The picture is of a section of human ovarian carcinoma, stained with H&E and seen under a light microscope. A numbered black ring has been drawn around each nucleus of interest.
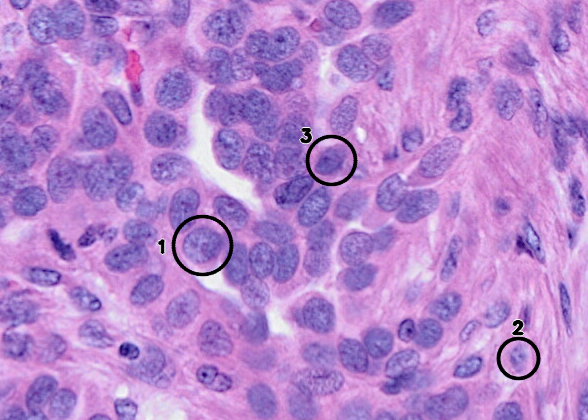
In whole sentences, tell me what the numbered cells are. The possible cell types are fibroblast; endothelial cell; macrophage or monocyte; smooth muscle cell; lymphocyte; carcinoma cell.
Cells 1 and 3 are carcinoma cells. Cell 2 is a fibroblast.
